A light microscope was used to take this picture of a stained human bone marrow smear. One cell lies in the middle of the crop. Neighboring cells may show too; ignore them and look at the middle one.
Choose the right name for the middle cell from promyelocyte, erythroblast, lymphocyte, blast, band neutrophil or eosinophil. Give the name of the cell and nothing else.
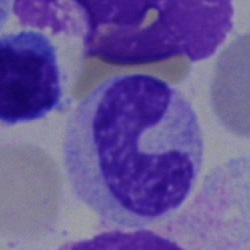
band neutrophil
